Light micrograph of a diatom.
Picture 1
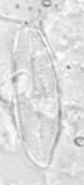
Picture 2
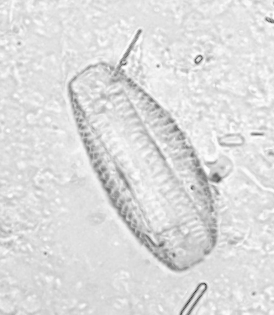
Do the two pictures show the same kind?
No: Achnanthidium, then Encyonema.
